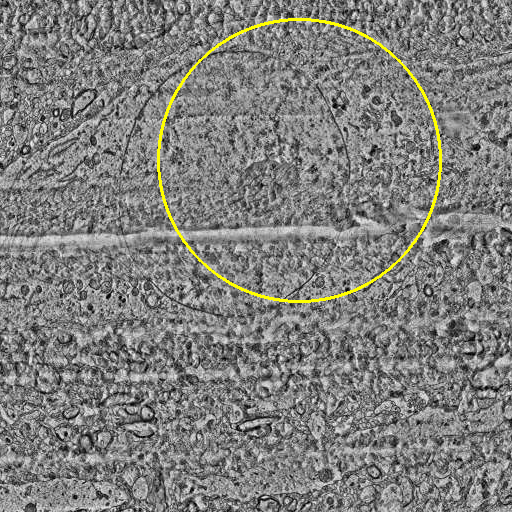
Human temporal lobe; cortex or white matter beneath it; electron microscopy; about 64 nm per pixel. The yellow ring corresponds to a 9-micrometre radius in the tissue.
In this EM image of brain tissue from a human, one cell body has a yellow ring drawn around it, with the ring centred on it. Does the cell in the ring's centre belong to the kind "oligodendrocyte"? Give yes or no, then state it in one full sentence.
No, in the picture, the cell centred in the yellow ring belongs to another kind.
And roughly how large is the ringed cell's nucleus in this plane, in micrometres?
In this plane, roughly 16 micrometres across.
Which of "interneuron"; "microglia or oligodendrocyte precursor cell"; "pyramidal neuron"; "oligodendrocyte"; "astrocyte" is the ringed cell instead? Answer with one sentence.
At the centre of the ring sits a pyramidal neuron.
